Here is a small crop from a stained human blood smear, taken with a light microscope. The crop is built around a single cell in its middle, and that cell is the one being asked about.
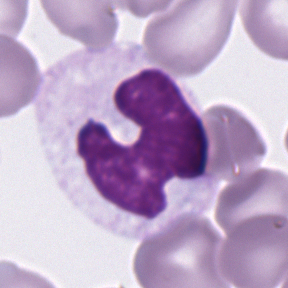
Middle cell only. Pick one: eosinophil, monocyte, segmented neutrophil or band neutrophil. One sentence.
The cell at the centre of the field is a band neutrophil.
